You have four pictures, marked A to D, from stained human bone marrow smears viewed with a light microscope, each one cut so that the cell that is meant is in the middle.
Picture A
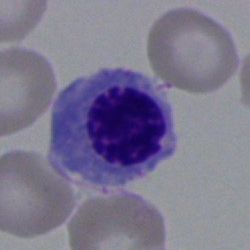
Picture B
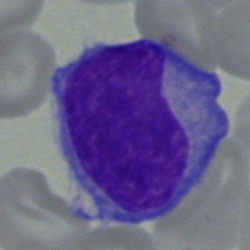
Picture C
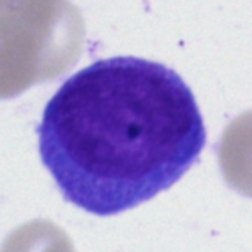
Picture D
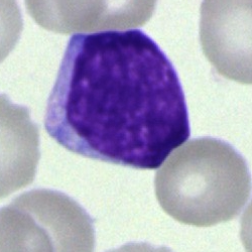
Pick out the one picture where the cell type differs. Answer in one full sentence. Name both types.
Unlike the rest, which show blasts, picture A shows an erythroblast.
